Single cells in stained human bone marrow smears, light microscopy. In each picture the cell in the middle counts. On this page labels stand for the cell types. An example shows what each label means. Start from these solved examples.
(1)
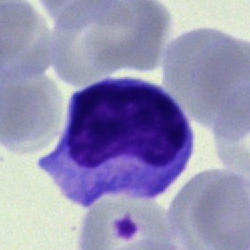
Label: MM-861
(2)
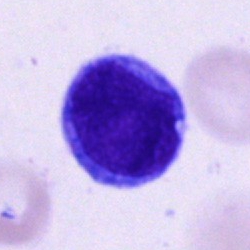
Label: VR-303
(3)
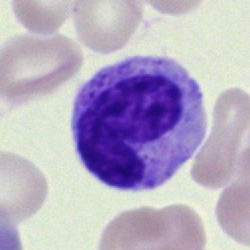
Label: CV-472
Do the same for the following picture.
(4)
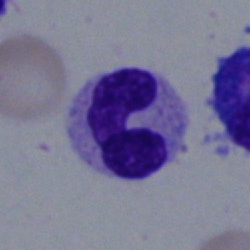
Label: CV-472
